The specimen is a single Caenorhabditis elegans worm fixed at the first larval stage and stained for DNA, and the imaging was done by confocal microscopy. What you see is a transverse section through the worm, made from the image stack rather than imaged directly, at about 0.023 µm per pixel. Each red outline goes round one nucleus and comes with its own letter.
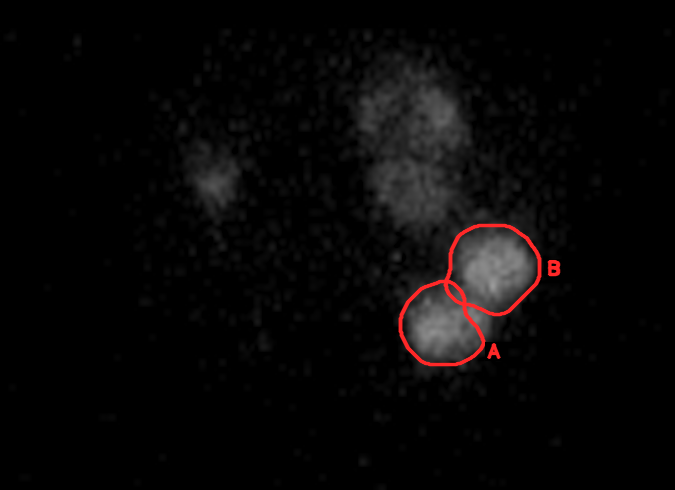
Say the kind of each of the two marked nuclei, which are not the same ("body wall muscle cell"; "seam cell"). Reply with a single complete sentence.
The nucleus A is that of a seam cell, while B is that of a body wall muscle cell.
